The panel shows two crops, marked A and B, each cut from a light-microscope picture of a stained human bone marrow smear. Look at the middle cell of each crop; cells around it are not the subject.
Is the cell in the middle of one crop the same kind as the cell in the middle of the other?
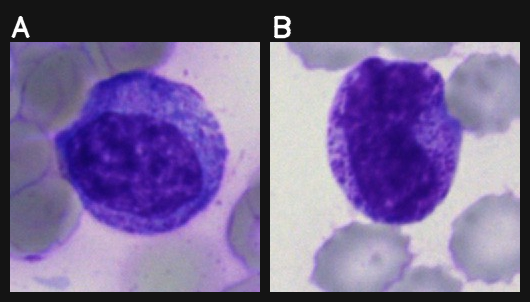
yes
